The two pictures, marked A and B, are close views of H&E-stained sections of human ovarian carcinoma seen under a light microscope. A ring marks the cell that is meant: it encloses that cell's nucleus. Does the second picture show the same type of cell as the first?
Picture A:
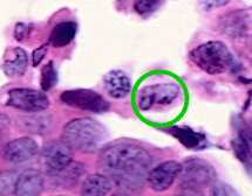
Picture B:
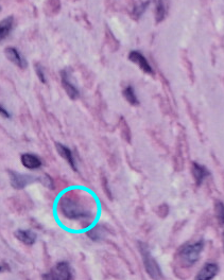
no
